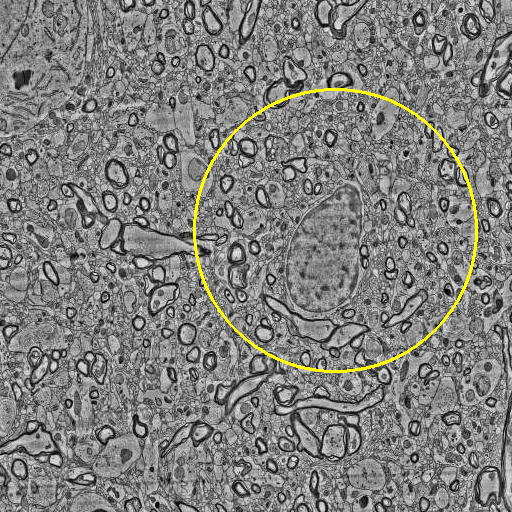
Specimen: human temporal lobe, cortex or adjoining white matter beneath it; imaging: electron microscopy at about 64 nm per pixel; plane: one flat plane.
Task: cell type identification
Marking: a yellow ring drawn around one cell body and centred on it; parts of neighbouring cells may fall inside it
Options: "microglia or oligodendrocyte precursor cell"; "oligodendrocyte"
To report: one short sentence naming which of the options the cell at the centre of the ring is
The cell at the centre of the ring is a microglial cell or oligodendrocyte precursor cell.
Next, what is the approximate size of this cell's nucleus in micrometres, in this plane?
The nucleus comes to roughly 7 by 5 micrometres in this plane.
